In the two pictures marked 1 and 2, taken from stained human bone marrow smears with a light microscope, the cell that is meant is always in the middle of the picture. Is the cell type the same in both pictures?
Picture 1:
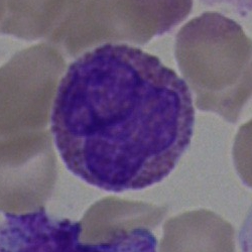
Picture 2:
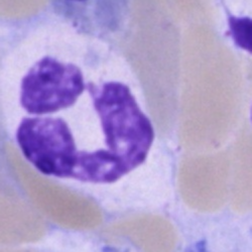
no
